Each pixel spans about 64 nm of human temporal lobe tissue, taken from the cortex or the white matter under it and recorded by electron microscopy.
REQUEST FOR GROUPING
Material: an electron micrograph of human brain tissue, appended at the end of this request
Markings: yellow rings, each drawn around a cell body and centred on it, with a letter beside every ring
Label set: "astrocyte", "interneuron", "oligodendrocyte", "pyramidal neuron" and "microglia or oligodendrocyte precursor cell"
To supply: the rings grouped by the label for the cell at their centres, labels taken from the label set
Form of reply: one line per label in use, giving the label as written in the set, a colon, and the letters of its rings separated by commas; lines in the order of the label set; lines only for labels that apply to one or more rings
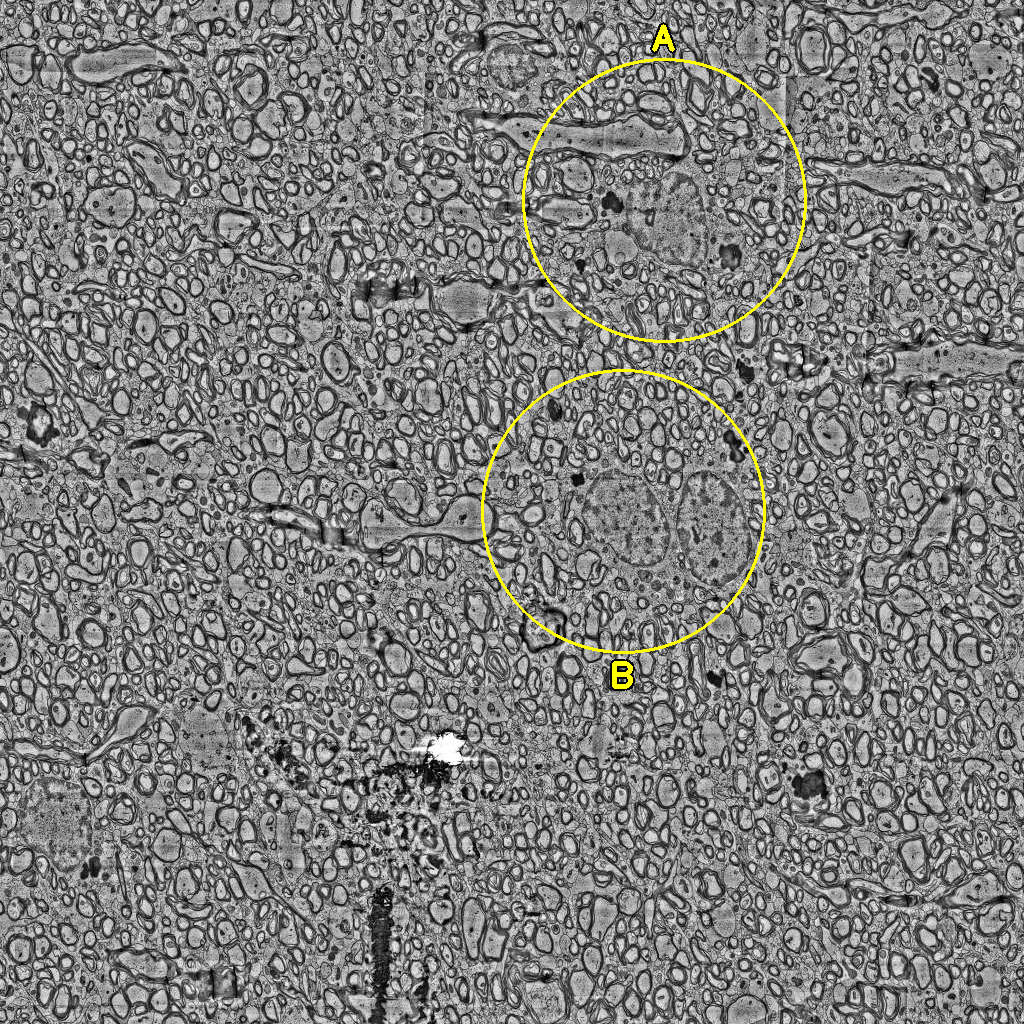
oligodendrocyte: A, B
